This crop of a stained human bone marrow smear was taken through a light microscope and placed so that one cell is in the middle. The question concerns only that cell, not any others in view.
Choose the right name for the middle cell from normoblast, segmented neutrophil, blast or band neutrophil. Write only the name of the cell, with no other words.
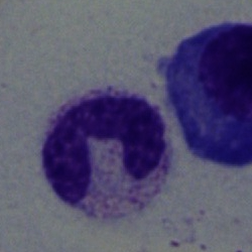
band neutrophil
